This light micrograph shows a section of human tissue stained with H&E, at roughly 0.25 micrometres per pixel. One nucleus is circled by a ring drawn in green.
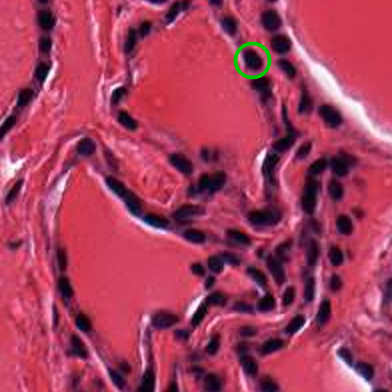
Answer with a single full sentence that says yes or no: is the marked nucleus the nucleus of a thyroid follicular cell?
Yes, the marked nucleus is a part of a thyroid follicular cell.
